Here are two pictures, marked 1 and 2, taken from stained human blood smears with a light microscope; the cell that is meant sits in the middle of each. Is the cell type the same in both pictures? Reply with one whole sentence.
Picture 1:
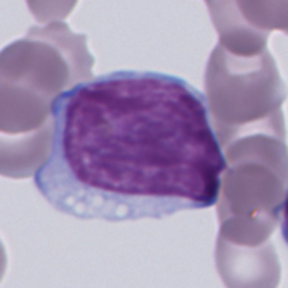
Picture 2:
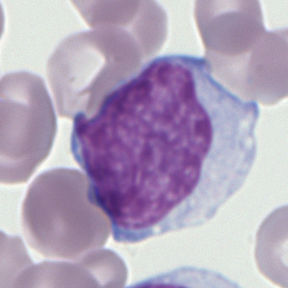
Yes, the two pictures both show myeloblasts.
